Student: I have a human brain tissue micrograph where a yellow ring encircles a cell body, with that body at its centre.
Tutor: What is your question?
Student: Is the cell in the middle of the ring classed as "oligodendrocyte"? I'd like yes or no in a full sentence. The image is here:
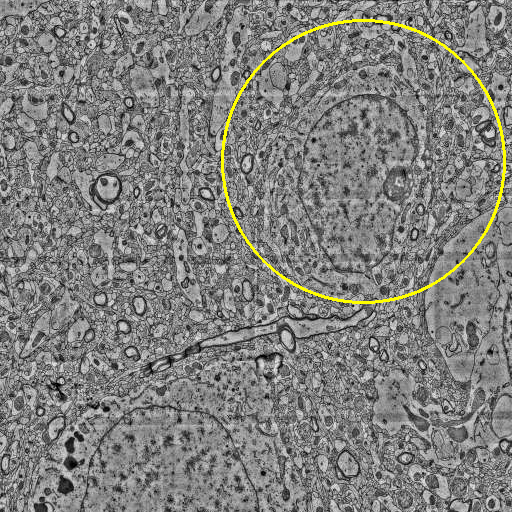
No, the ringed cell in the middle counts as another kind.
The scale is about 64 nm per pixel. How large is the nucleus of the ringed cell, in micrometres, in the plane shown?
In this plane the nucleus is about 11 micrometres by 8.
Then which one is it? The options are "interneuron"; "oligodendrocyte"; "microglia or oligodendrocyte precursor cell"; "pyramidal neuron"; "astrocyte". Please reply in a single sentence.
The cell at the middle of the ring is an interneuron.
